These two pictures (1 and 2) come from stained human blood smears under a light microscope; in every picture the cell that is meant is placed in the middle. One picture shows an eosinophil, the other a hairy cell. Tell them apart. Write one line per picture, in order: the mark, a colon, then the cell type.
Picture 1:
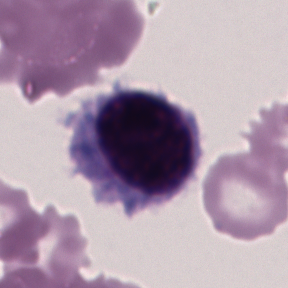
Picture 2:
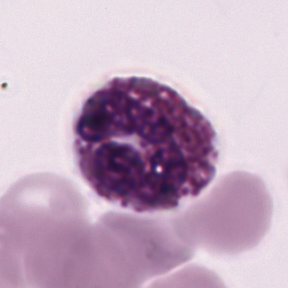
1: hairy cell
2: eosinophil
